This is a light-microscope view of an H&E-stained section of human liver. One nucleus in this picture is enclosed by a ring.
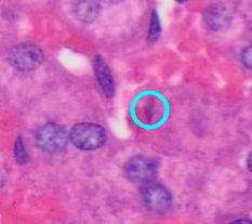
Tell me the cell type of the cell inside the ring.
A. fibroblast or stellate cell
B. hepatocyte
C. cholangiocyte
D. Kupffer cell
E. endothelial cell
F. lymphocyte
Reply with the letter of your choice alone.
E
